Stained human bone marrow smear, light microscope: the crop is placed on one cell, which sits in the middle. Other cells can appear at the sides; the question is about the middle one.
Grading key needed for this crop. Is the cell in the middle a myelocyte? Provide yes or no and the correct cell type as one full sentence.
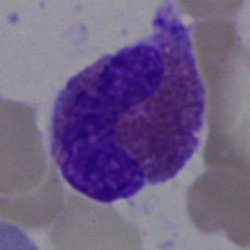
No, the central cell is identified not as a myelocyte but as an eosinophil.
